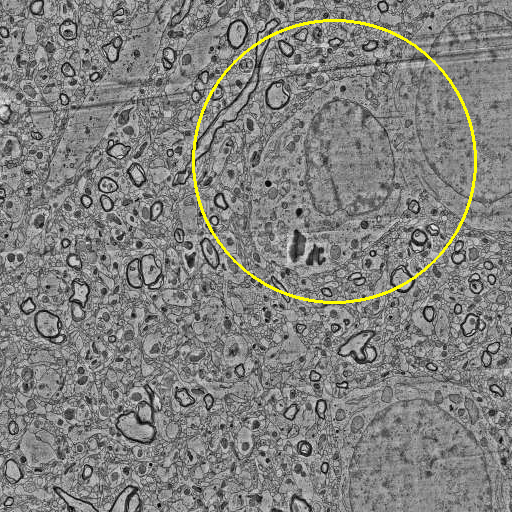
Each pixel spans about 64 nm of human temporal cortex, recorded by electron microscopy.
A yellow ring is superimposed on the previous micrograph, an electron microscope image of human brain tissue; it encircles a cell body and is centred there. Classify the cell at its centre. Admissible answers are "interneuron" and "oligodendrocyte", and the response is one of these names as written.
interneuron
